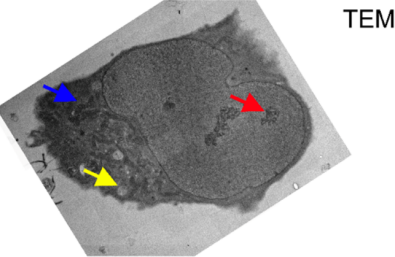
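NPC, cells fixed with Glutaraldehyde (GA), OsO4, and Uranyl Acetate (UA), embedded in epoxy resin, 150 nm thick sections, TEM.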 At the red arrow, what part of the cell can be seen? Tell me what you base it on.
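Nucleolus. The red arrow points to a dense, irregular dark body inside the large oval nucleus. The body is darker than the surrounding finely granular nuclear content.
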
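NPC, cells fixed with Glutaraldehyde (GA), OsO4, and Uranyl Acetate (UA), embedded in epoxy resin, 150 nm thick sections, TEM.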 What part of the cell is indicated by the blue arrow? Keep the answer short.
Mitochondria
